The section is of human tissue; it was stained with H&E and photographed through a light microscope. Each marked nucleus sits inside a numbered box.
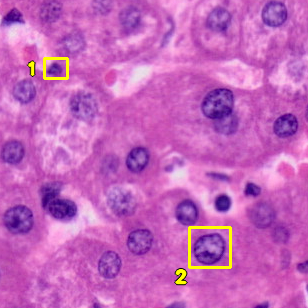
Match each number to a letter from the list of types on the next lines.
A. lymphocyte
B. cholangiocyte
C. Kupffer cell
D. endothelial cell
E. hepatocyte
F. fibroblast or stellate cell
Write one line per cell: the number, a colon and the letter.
1: F
2: E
